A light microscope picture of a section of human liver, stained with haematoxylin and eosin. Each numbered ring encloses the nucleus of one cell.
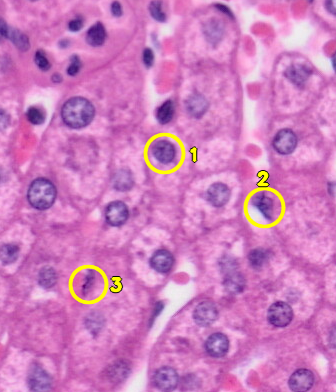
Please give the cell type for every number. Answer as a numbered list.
1. hepatocyte
2. endothelial cell
3. endothelial cell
